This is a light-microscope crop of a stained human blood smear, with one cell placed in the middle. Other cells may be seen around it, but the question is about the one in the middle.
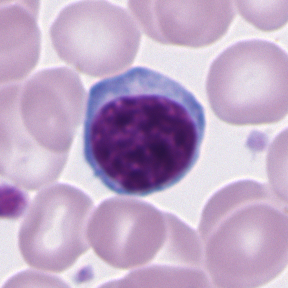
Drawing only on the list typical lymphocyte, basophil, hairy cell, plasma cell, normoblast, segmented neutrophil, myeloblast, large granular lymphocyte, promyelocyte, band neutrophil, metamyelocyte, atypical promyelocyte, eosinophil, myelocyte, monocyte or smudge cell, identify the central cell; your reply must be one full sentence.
The middle cell in this particular crop is a typical lymphocyte.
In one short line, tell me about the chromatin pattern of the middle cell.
You can see that its chromatin is coarsely clumped.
